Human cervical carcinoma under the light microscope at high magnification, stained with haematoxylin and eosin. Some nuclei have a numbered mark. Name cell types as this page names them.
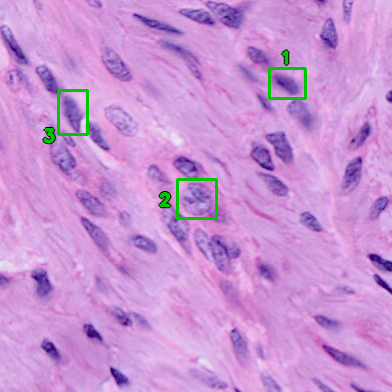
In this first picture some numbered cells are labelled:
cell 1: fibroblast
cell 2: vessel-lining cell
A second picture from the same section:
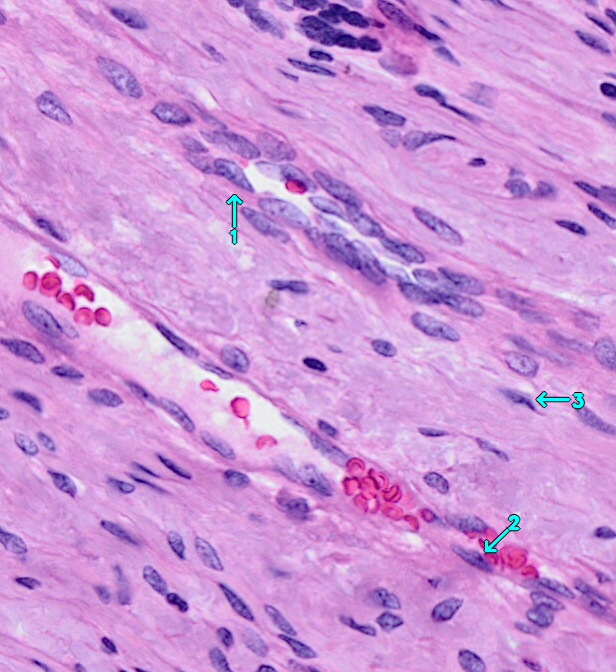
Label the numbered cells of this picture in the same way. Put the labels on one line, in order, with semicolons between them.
vessel-lining cell; vessel-lining cell; fibroblast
